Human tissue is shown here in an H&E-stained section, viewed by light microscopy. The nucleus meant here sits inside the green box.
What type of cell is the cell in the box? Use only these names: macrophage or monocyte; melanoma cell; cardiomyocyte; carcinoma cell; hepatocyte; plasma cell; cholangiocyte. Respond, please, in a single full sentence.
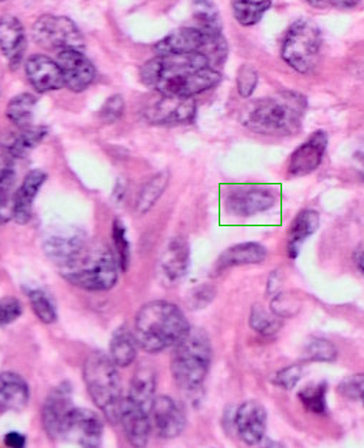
Typologically, the cell in the box is a melanoma cell in this section.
